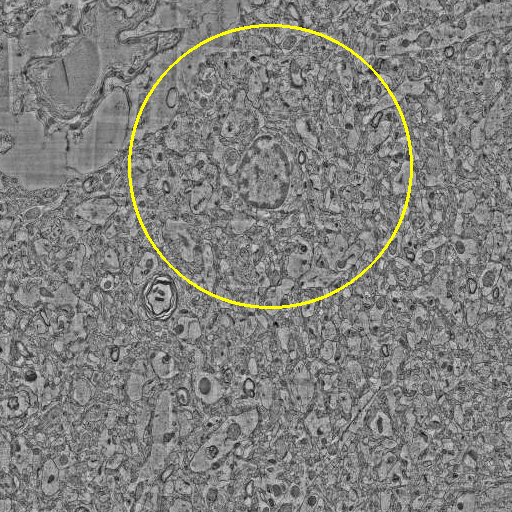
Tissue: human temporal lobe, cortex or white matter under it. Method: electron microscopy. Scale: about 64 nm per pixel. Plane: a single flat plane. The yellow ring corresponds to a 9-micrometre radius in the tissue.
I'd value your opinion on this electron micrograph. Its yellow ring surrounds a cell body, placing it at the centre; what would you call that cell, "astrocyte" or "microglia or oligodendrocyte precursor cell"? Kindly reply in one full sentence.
It is a microglial cell or oligodendrocyte precursor cell that sits centred within the yellow ring in this micrograph.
